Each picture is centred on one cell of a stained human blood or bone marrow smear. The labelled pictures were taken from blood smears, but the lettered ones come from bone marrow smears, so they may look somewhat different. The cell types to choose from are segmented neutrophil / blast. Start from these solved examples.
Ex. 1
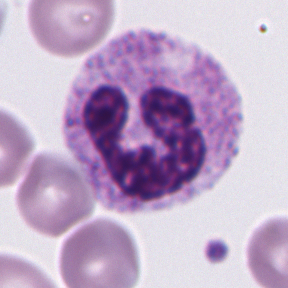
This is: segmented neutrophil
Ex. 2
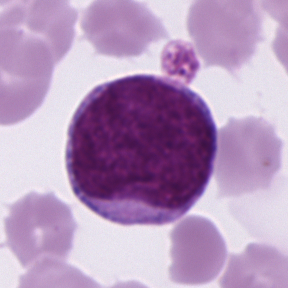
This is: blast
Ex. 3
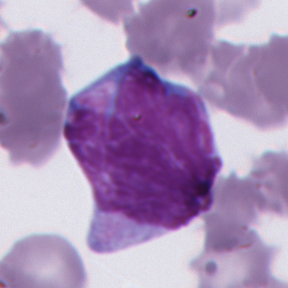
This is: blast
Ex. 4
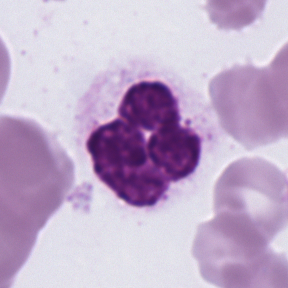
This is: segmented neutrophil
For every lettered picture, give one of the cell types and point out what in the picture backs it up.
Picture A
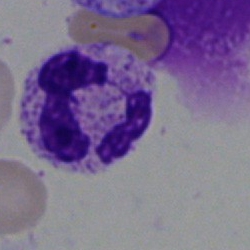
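segmented neutrophil. Reason: The chromatin is dark purple and coarsely clumped.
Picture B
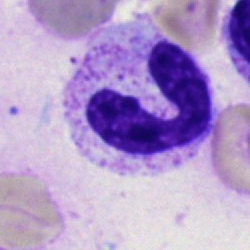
segmented neutrophil. Reason: The cytoplasm is plentiful and pale pinkish-lilac.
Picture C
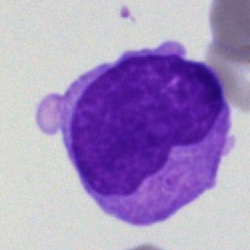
blast. Reason: The nucleus fills most of the cell and sits toward the upper left.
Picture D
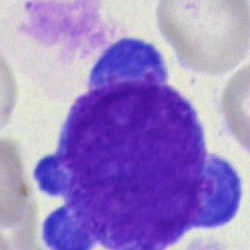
blast. Reason: The chromatin is finely stippled rather than coarsely clumped.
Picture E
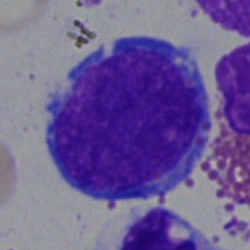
blast. Reason: The cytoplasm forms only a thin rim around the nucleus.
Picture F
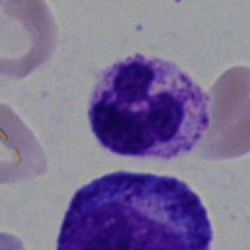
segmented neutrophil. Reason: The nuclear chromatin is dense, dark purple and coarsely clumped.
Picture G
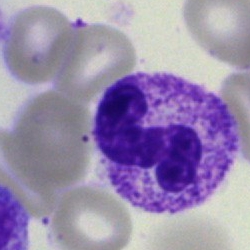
segmented neutrophil. Reason: Many purple granules are scattered throughout the cytoplasm.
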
